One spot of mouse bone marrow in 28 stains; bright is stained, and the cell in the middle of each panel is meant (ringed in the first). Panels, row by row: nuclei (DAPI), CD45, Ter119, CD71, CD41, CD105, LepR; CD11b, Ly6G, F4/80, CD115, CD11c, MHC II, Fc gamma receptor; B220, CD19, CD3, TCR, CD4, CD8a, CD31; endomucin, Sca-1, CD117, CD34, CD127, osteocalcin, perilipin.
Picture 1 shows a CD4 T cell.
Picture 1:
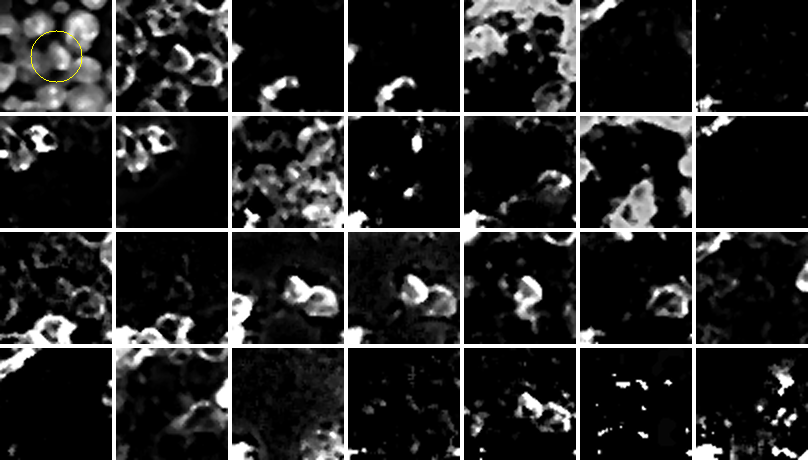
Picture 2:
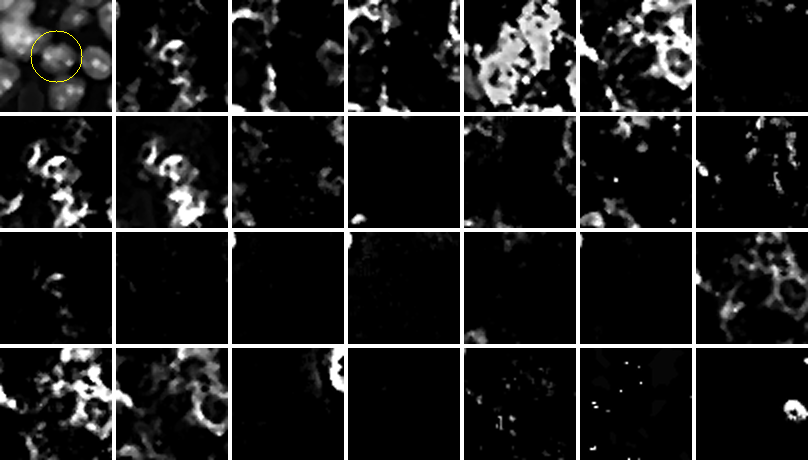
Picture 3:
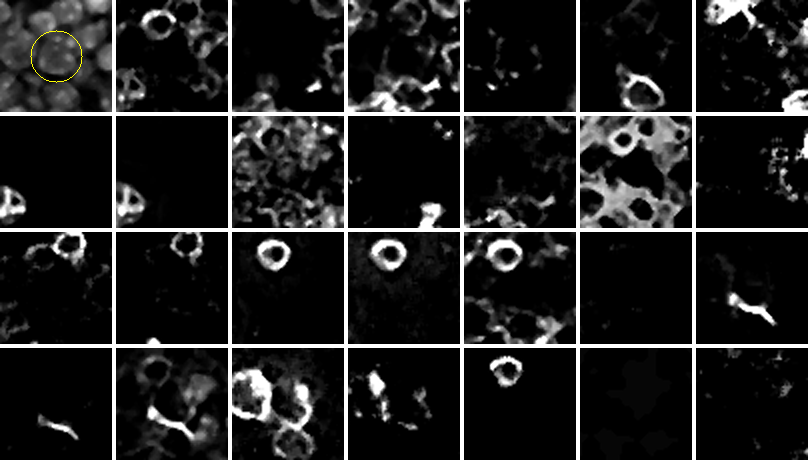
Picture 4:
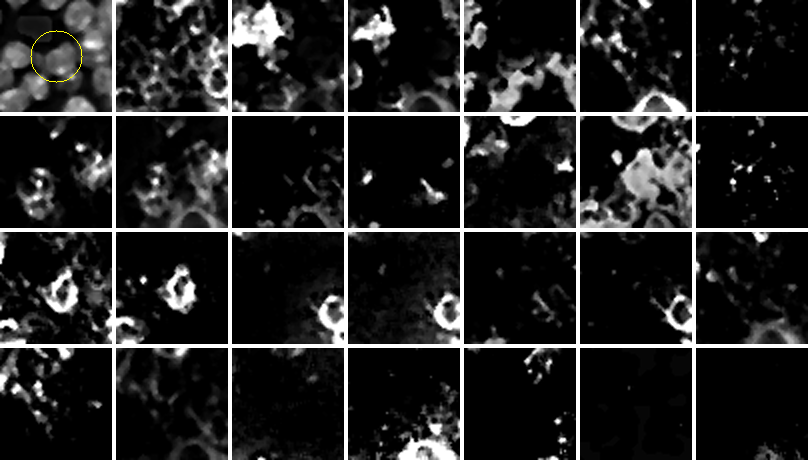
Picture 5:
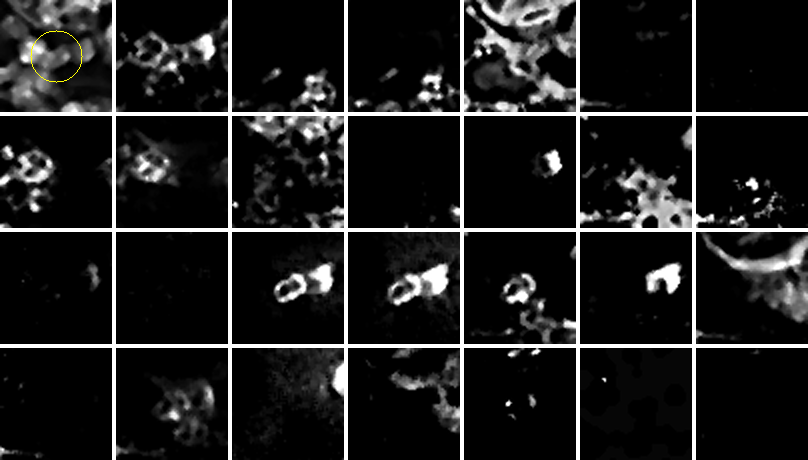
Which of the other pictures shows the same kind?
Picture 5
